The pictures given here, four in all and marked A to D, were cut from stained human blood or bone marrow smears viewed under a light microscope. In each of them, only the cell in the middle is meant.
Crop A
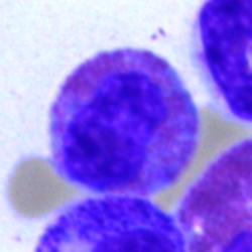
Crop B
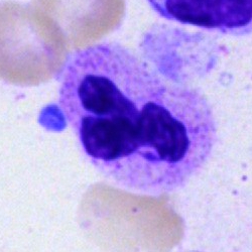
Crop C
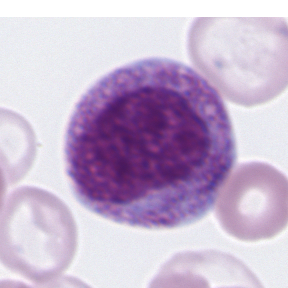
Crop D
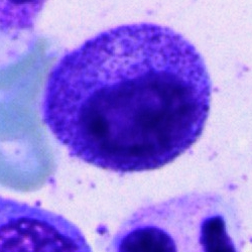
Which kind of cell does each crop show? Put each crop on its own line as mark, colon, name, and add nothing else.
A: eosinophil
B: segmented neutrophil
C: myelocyte
D: myelocyte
